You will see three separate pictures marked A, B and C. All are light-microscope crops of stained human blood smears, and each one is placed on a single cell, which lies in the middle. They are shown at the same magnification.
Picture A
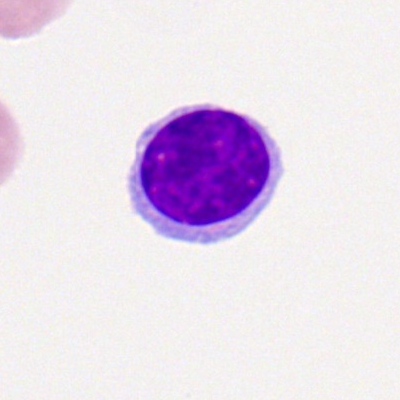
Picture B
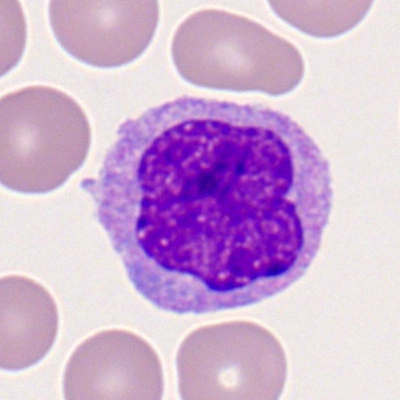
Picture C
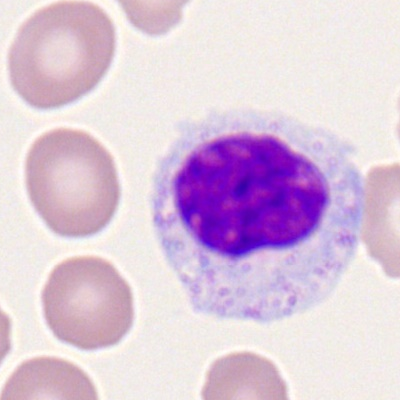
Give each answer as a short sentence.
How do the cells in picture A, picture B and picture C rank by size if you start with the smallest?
The order is A, C, B, beginning with the smallest.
